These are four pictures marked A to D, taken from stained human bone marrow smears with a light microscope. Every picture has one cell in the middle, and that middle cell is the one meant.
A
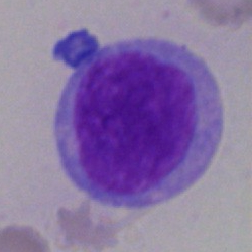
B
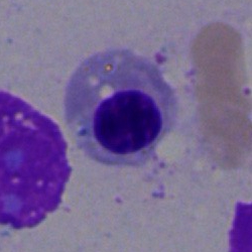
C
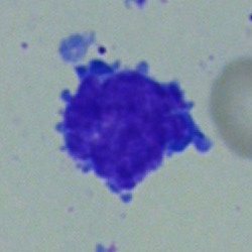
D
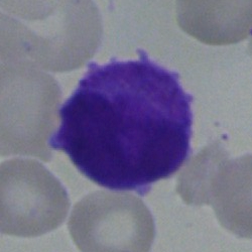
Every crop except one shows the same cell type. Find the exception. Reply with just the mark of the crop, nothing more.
B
